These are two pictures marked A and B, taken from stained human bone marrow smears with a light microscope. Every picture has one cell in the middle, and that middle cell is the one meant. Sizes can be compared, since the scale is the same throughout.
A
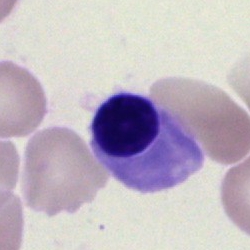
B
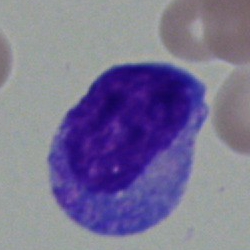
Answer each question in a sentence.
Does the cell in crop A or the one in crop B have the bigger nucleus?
Crop B shows the larger nucleus; it covers about 4 times the area of the nucleus in crop A.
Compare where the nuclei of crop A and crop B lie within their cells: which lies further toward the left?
It is the nucleus in crop A that lies further toward the left of its cell.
